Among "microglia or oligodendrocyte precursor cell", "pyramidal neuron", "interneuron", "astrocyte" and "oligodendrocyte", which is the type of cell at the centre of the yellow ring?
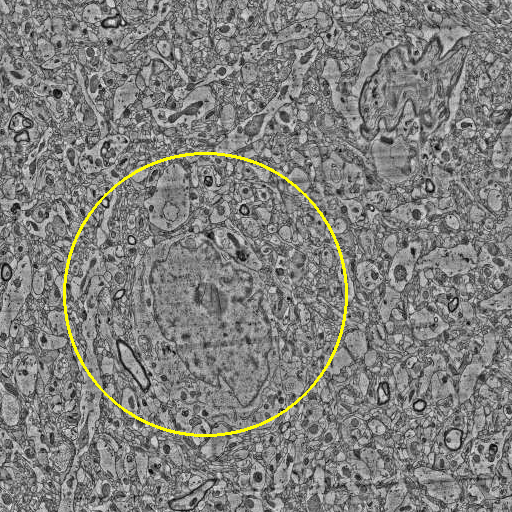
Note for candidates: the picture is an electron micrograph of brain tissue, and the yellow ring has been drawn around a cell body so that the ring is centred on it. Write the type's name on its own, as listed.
interneuron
